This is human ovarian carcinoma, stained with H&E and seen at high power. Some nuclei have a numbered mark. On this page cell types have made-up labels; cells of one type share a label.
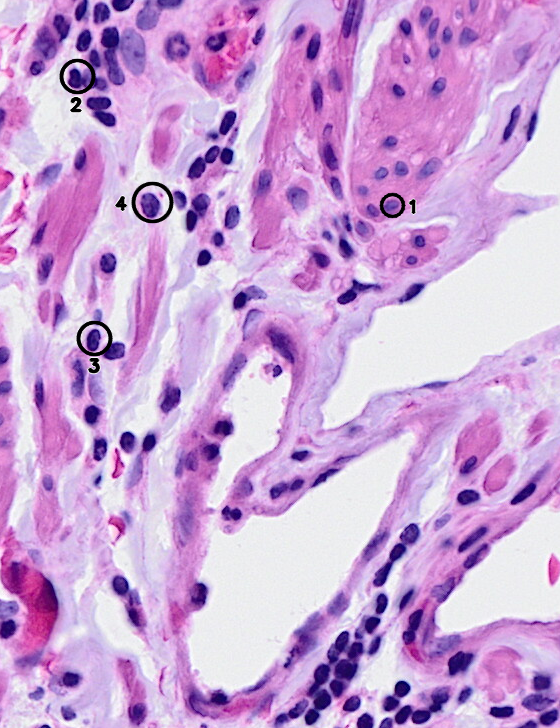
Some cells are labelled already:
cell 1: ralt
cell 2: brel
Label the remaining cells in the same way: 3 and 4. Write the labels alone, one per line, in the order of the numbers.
brel
brel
